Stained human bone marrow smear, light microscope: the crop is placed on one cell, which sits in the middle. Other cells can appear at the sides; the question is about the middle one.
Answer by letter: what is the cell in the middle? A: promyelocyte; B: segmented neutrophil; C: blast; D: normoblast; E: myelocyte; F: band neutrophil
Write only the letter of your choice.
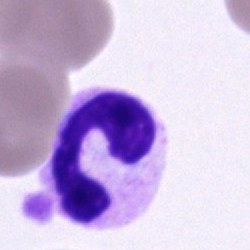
F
